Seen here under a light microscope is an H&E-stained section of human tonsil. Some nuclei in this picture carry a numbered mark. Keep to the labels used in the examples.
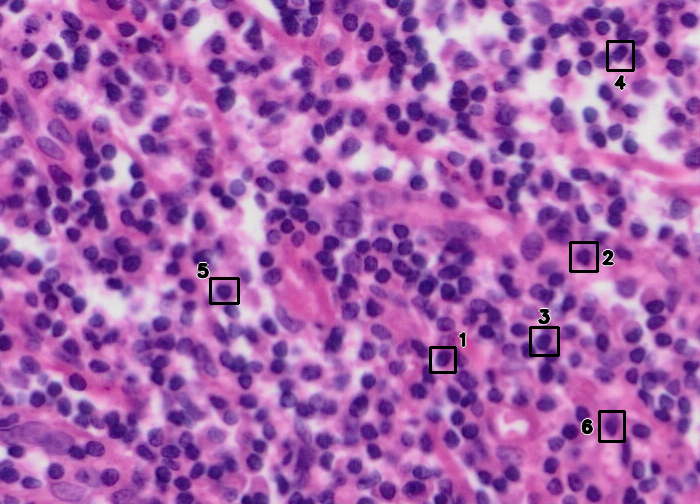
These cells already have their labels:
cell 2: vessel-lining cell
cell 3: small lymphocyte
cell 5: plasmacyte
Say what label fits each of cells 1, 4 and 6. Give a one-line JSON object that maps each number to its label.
{"1": "small lymphocyte", "4": "small lymphocyte", "6": "vessel-lining cell"}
